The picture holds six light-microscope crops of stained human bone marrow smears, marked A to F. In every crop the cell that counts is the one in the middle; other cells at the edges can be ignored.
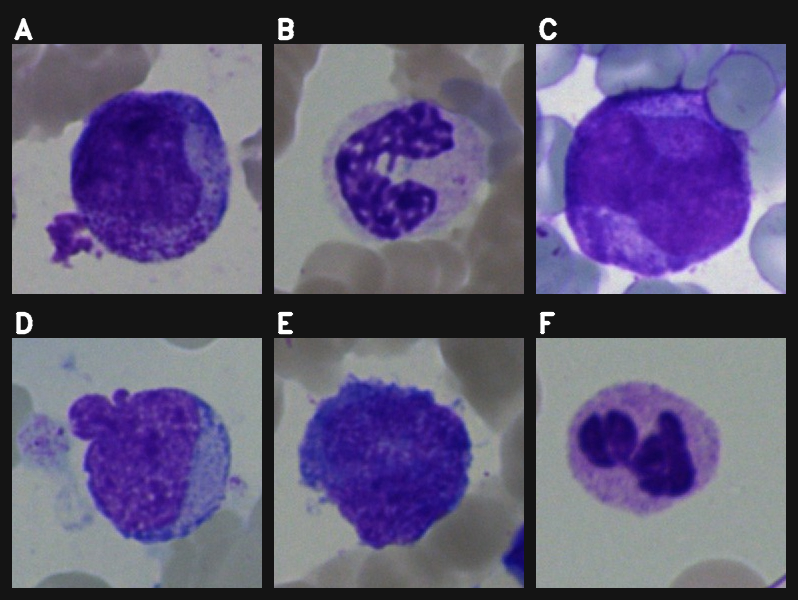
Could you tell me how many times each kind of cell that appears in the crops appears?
blast: 3
segmented neutrophil: 2
myelocyte: 1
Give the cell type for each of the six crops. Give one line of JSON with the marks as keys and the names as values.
{"A": "myelocyte", "B": "segmented neutrophil", "C": "blast", "D": "blast", "E": "blast", "F": "segmented neutrophil"}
